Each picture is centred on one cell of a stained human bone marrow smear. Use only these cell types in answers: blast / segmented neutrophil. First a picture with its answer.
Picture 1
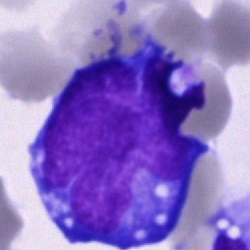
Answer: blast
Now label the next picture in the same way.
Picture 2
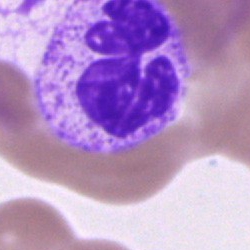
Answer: segmented neutrophil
